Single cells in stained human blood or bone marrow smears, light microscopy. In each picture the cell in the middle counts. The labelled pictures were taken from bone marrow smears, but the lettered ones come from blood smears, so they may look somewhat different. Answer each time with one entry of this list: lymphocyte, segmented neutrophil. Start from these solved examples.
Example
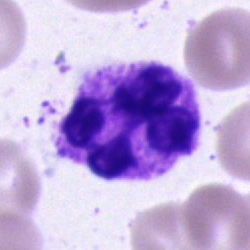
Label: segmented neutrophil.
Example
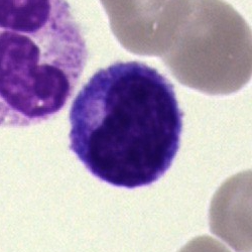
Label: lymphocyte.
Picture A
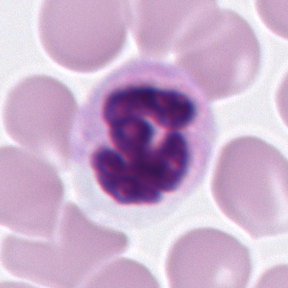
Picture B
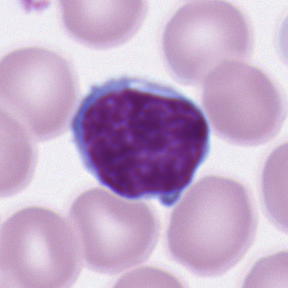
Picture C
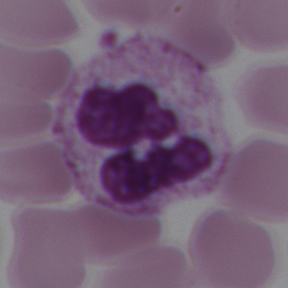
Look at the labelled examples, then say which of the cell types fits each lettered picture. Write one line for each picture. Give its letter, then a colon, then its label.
A: segmented neutrophil.
B: lymphocyte.
C: segmented neutrophil.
